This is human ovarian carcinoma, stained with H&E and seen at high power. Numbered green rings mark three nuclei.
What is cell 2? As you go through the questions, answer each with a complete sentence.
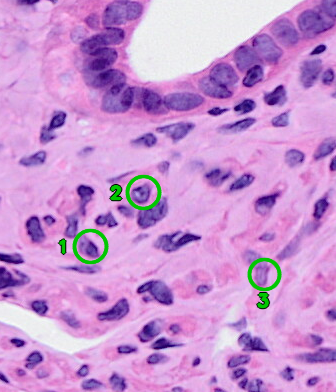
Among the marked cells, number 2 is an endothelial cell.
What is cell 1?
In the tissue shown, cell 1 is a smooth muscle cell.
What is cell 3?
Cell 3, among those numbered, is a smooth muscle cell.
